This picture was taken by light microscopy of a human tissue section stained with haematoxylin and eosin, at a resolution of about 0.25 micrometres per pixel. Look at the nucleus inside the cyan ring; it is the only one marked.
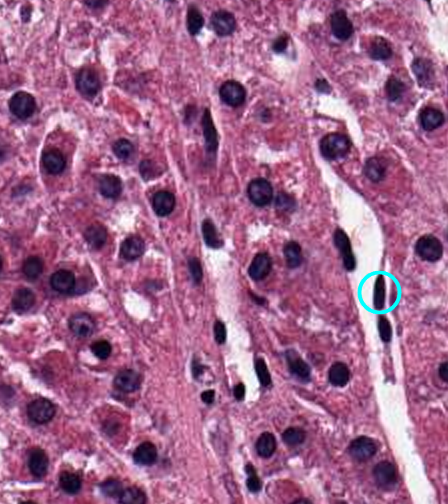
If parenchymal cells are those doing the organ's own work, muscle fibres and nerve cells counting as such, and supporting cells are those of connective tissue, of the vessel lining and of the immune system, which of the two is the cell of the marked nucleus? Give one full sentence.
The indicated nucleus in this section belongs to a supporting cell.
